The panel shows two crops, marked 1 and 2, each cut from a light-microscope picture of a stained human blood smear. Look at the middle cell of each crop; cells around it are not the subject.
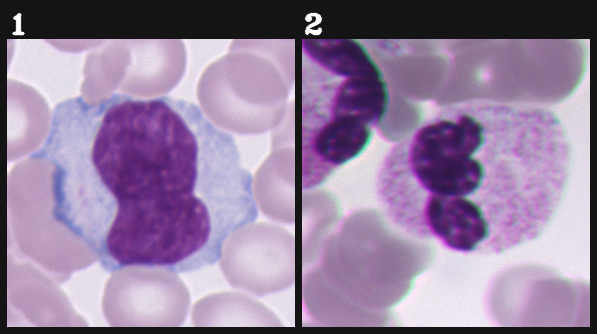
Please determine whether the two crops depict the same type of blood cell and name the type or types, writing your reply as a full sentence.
No; crop 1 is a monocyte, while crop 2 is a neutrophil.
